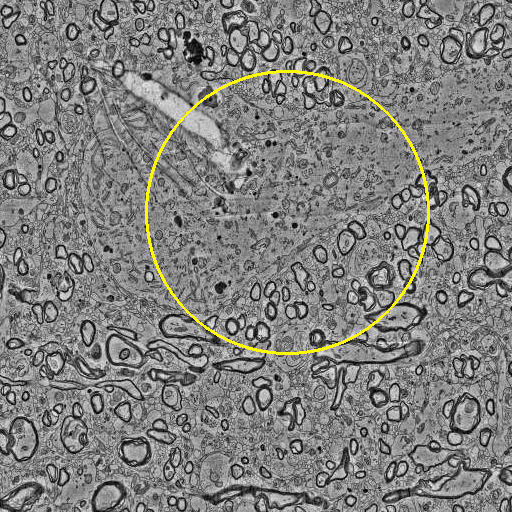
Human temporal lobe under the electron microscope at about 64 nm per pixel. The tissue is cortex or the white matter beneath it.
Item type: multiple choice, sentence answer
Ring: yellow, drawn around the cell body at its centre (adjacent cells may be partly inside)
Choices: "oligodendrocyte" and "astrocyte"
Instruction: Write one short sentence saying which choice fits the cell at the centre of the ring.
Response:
This ring is drawn around an oligodendrocyte.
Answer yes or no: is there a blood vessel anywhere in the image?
No, no blood vessel can be seen.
